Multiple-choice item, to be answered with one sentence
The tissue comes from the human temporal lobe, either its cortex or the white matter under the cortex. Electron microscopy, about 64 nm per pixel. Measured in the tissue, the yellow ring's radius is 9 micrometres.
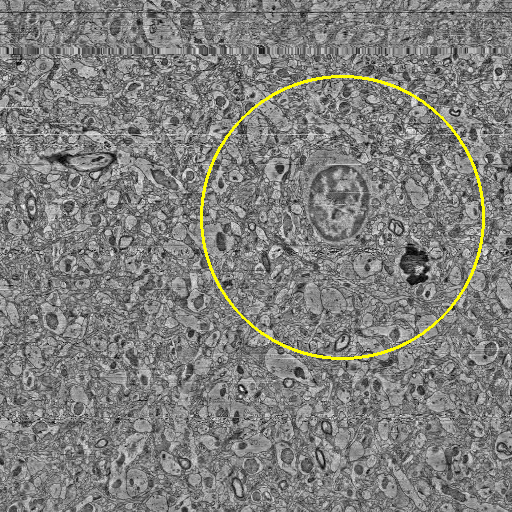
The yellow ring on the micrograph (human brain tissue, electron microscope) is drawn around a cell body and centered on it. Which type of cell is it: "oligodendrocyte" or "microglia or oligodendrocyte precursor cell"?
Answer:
The ring is centered on an oligodendrocyte.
